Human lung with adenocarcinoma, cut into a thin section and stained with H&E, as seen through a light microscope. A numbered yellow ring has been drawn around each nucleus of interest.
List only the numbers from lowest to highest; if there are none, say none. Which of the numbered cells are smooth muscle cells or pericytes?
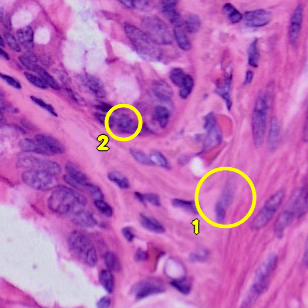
1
